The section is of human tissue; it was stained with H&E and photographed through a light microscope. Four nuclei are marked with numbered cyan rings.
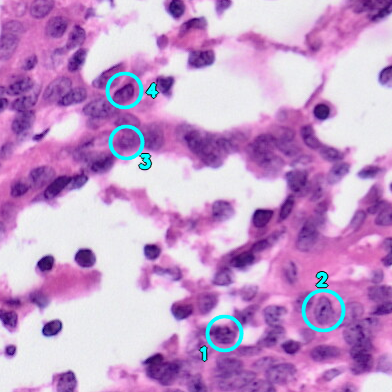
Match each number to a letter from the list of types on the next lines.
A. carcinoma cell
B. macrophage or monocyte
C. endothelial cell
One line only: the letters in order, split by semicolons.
A; B; A; A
